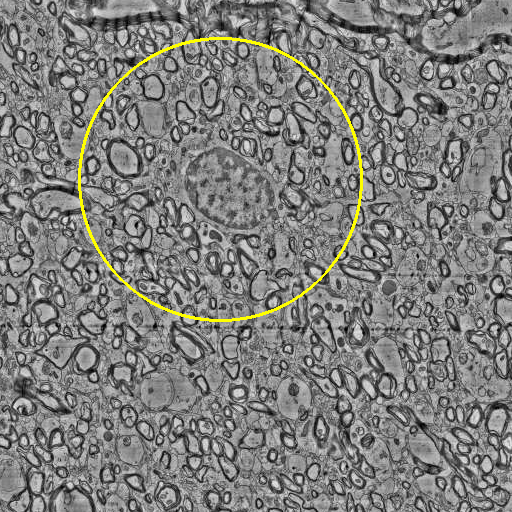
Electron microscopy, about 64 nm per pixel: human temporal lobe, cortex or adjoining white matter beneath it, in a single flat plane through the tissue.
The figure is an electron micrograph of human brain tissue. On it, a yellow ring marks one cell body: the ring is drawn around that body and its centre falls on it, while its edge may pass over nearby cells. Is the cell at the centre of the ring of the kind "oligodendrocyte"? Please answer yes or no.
yes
